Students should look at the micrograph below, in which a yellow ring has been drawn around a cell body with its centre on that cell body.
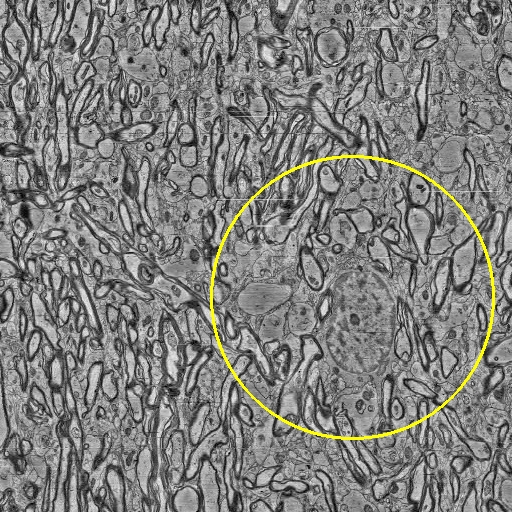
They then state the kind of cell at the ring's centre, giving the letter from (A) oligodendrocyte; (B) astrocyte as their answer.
A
